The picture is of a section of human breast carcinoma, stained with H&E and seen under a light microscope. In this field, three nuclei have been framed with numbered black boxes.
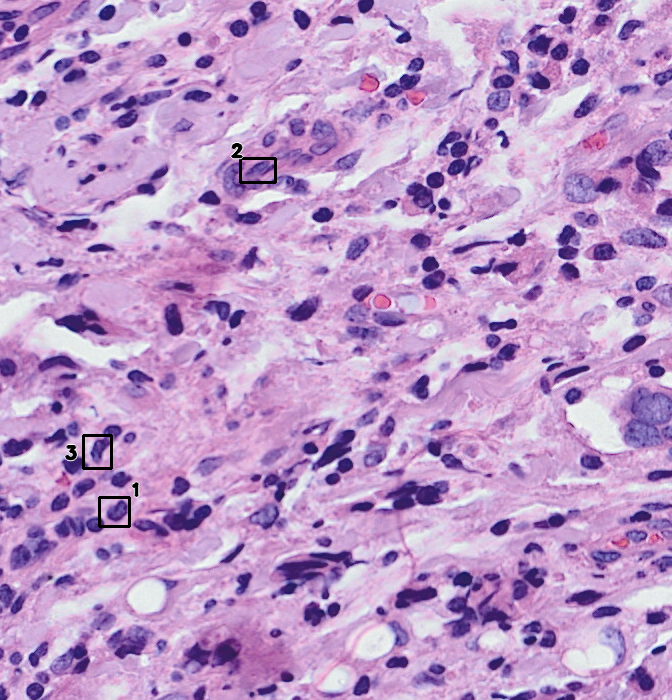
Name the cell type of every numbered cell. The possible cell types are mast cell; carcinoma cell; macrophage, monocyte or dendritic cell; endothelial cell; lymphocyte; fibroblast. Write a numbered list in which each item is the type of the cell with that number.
1. lymphocyte
2. endothelial cell
3. lymphocyte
